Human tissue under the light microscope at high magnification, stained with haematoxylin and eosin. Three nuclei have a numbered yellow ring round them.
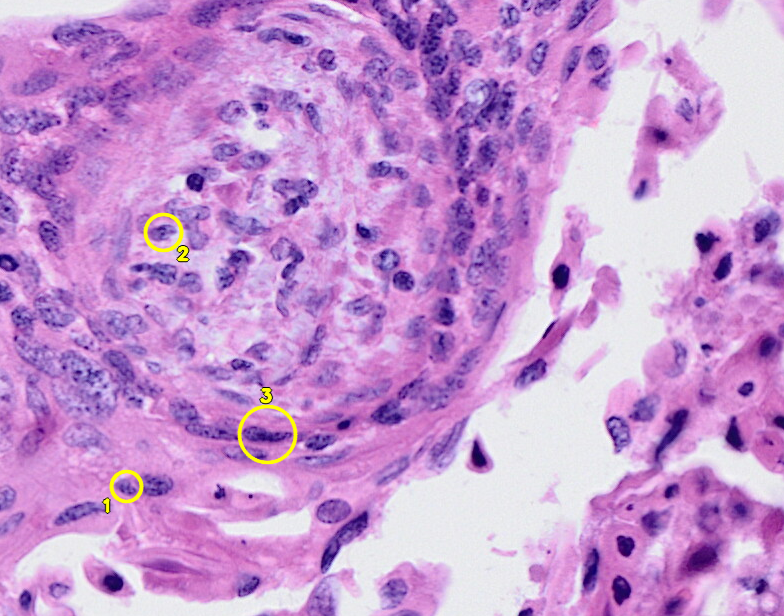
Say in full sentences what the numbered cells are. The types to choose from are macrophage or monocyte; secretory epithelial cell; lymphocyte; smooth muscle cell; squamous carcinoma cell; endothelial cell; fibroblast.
Cell 1 is a squamous carcinoma cell, cell 2 is a lymphocyte and cell 3 is a squamous carcinoma cell.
